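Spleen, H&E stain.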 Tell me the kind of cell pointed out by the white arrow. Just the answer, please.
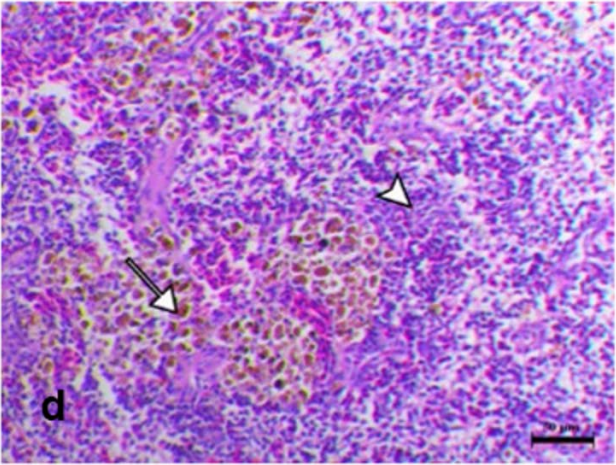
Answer: Melanomacrophage cells.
